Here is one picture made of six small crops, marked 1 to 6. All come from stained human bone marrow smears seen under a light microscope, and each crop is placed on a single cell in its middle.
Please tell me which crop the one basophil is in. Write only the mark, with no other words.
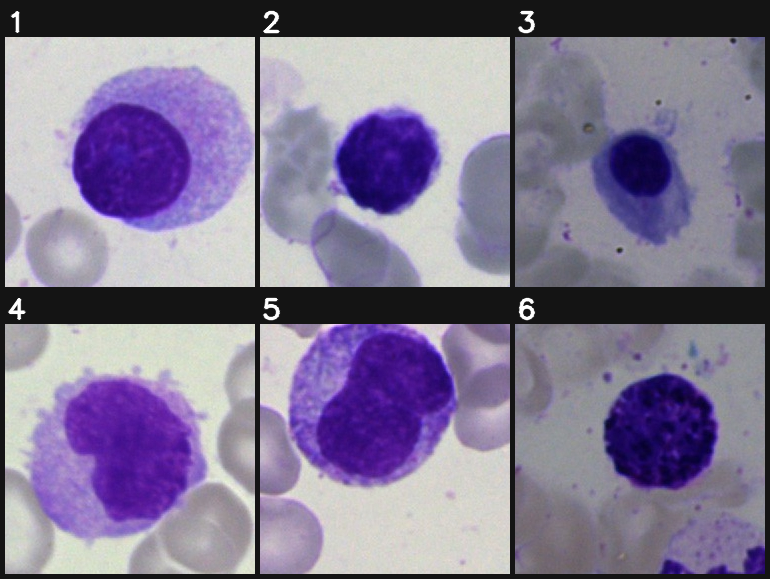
6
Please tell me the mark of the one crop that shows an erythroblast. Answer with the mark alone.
3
